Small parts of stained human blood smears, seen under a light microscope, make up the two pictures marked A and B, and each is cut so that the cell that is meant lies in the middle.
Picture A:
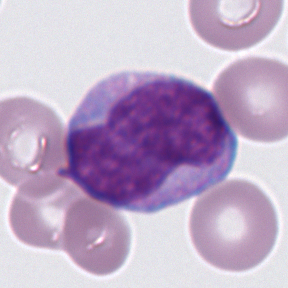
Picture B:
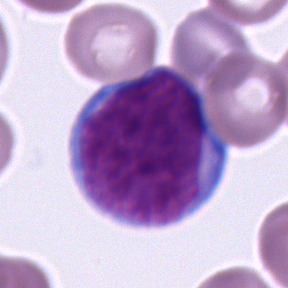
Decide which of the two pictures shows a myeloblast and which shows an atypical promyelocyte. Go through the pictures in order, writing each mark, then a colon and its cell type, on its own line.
A: atypical promyelocyte
B: myeloblast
